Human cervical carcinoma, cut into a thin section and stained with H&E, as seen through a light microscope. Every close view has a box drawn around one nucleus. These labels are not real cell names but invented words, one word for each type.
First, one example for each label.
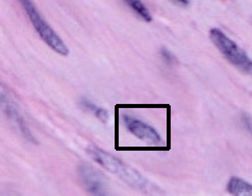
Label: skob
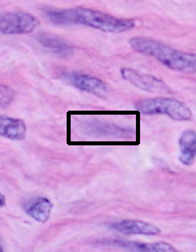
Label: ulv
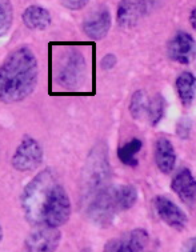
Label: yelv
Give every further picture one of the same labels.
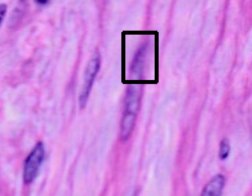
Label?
ulv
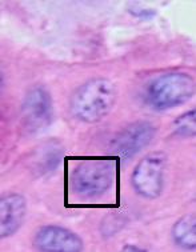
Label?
yelv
